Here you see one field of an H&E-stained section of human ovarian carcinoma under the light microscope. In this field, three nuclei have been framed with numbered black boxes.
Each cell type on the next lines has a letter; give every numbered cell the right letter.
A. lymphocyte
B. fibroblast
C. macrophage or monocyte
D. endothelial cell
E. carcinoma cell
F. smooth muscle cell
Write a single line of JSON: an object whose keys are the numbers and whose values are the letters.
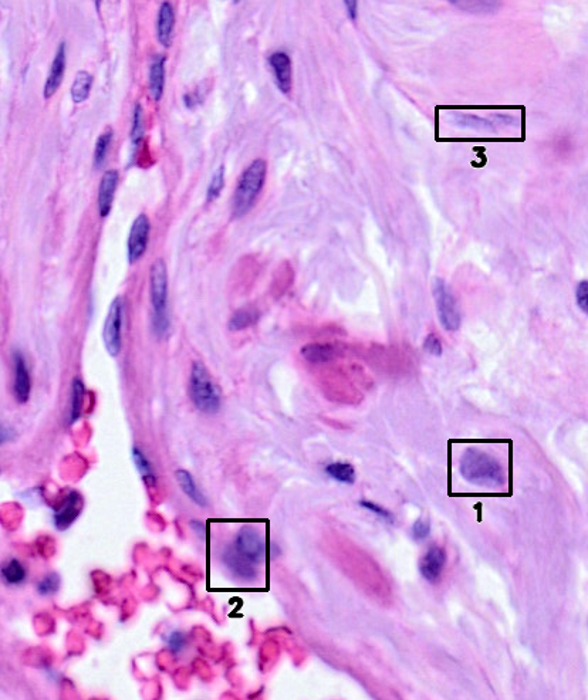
{"1": "B", "2": "D", "3": "B"}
